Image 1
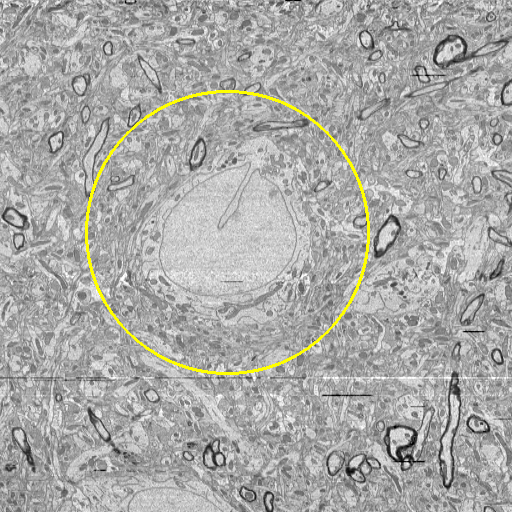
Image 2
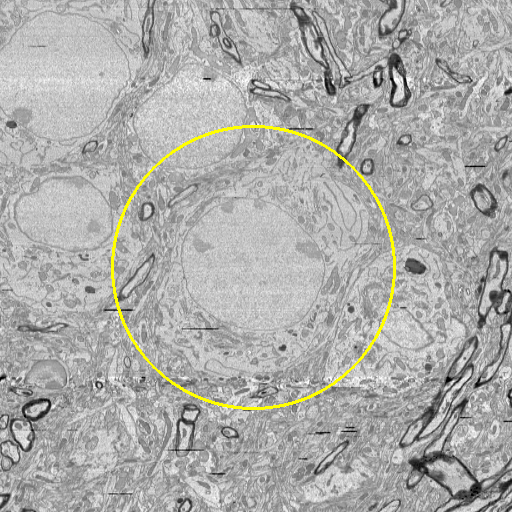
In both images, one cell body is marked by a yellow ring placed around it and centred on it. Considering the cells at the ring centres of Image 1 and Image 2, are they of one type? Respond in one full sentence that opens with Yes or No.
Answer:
Yes, a single type applies to the ring-centred cells of both Image 1 and Image 2.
